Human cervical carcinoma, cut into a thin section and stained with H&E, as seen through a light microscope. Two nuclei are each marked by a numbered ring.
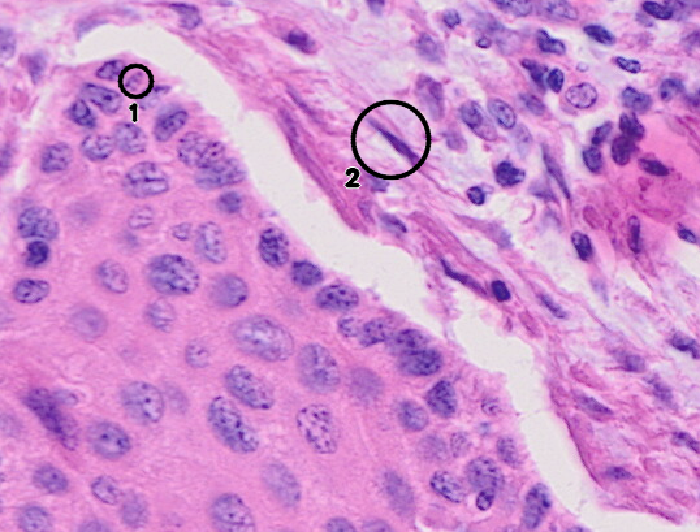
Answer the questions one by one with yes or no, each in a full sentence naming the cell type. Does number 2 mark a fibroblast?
Yes, on this slide, the cell with number 2 is a fibroblast.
